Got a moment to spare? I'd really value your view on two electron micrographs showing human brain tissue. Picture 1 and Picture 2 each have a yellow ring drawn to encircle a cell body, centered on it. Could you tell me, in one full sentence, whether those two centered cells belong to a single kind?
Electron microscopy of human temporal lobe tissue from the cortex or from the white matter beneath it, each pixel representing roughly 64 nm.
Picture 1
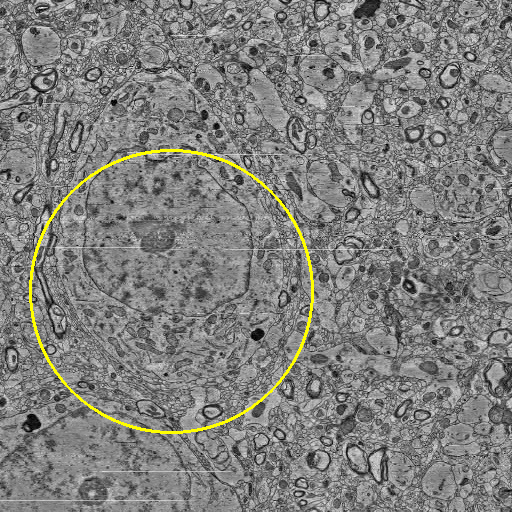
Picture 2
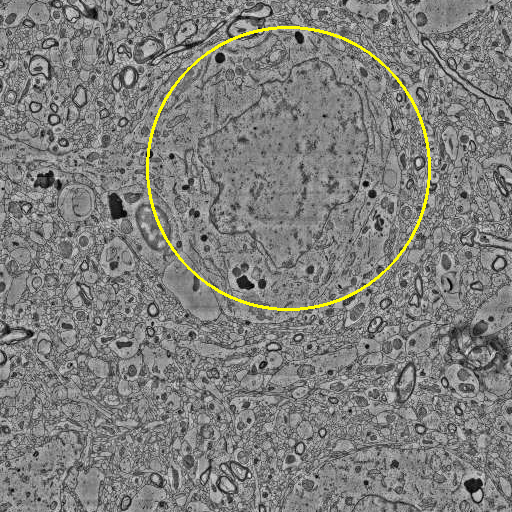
Yes, the two centered cells in Picture 1 and Picture 2 are of a single kind.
